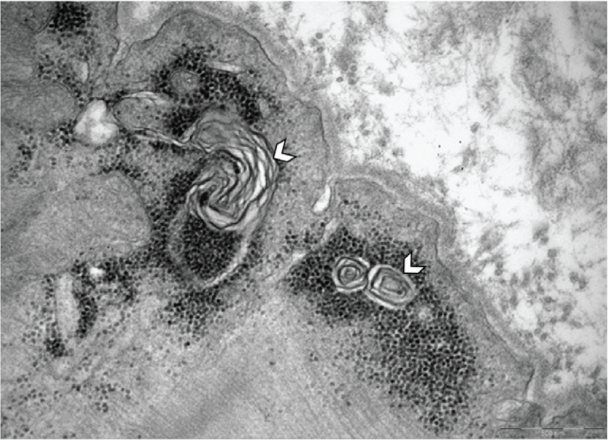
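At the edge of a muscle fiber, just under its surface membrane, lie clusters of dense dark granules mixed with membranous debris. Within them are concentric, onion-like whorls of stacked membranes: one large swirling whorl and, nearby, two small paired rings.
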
